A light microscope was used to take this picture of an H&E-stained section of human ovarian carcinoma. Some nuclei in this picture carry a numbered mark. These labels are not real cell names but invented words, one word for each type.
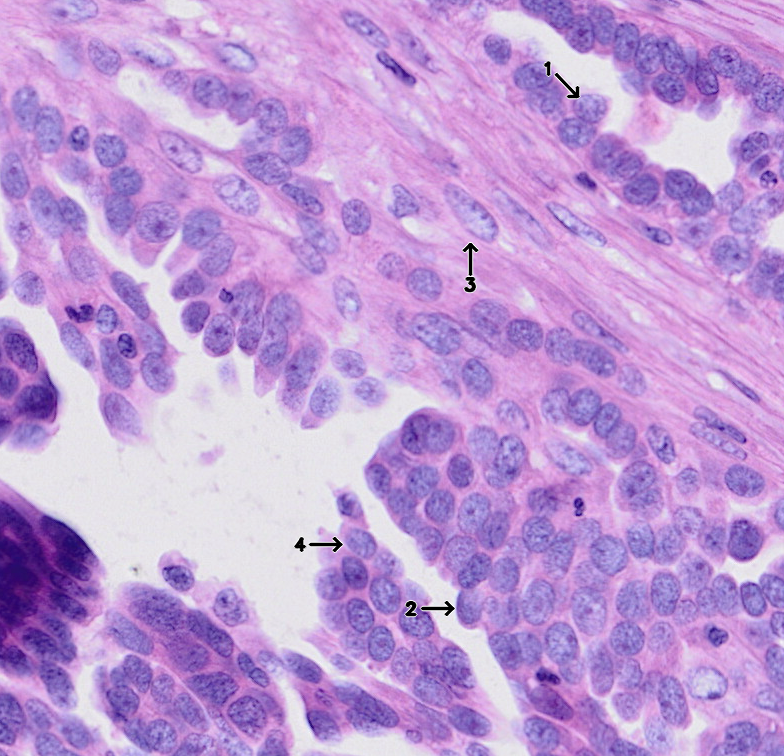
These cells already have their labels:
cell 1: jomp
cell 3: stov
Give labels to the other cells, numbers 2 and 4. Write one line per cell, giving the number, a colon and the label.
2: jomp
4: jomp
